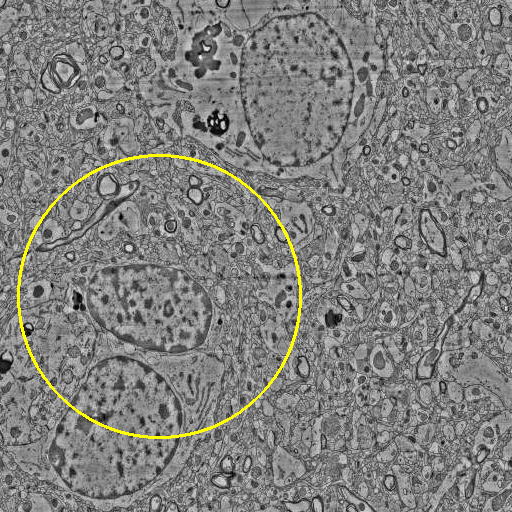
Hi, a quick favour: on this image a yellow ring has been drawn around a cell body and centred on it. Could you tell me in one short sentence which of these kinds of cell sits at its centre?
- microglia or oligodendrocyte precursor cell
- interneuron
The ring is centred on a microglial cell or oligodendrocyte precursor cell.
